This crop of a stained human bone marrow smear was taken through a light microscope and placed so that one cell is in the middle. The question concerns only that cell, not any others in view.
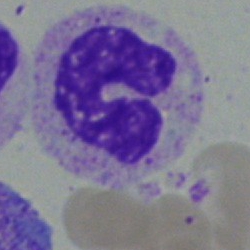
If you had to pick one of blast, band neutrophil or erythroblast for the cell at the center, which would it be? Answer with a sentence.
The cell sitting right in the middle is a band neutrophil.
